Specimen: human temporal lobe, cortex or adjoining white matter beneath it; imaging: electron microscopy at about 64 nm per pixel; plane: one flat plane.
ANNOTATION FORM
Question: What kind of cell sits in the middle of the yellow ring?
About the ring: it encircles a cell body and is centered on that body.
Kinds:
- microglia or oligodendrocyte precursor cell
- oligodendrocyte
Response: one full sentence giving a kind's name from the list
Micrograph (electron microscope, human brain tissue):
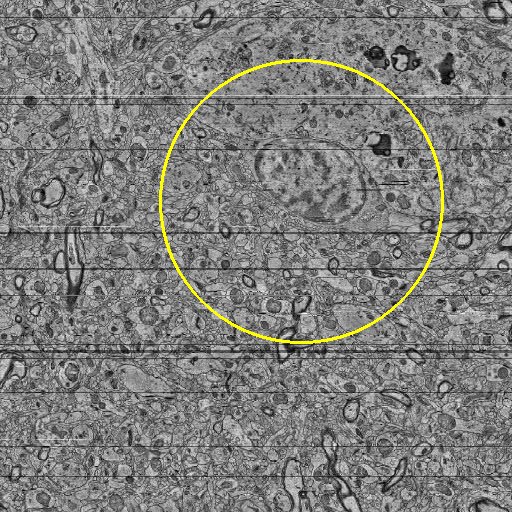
The kind of cell found at the center of the yellow ring in the micrograph is an oligodendrocyte.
